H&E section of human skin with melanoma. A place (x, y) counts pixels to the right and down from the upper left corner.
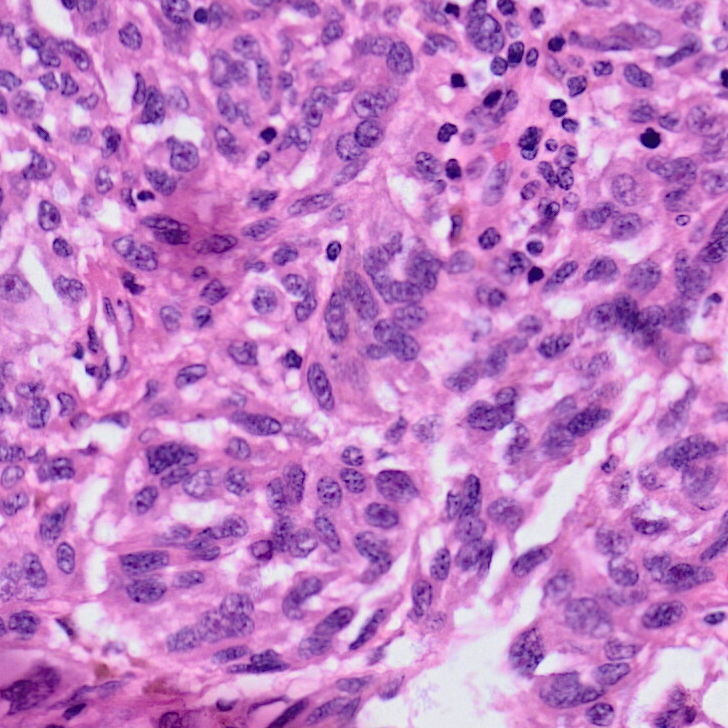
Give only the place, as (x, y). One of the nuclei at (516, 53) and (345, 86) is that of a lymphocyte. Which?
(516, 53)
